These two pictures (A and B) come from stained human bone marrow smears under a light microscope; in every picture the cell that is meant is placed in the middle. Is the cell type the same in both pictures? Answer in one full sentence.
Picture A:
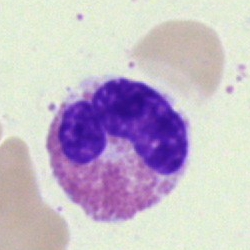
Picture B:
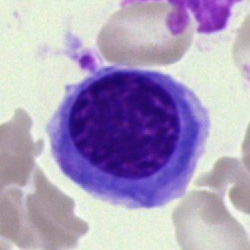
No, the types are not the same, since picture A shows a basophil and picture B an erythroblast.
